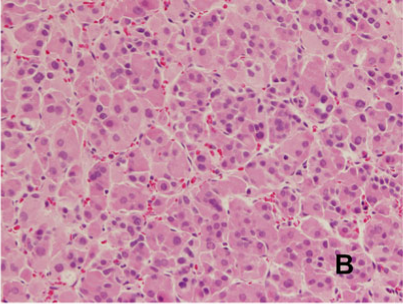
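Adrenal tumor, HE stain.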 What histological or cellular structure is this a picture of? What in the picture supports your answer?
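Cells lie in sheets and small nests. Nests are separated by thin septa with capillaries holding red blood cells. So: solid or alveolar growth pattern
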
